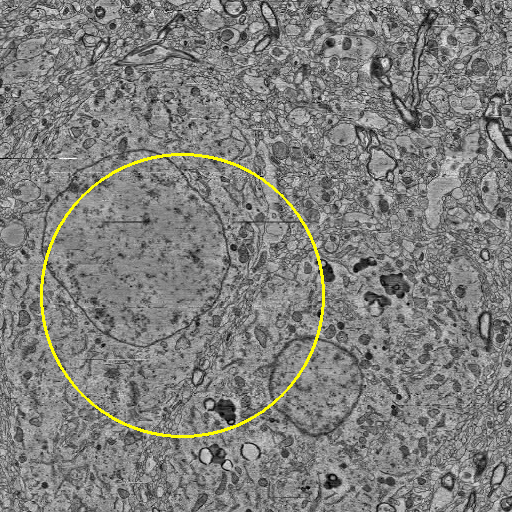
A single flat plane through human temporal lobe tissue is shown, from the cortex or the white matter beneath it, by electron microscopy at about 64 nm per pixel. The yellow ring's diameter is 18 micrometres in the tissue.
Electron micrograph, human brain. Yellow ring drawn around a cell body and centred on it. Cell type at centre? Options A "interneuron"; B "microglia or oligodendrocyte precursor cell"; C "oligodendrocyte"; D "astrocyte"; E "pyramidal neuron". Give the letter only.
E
